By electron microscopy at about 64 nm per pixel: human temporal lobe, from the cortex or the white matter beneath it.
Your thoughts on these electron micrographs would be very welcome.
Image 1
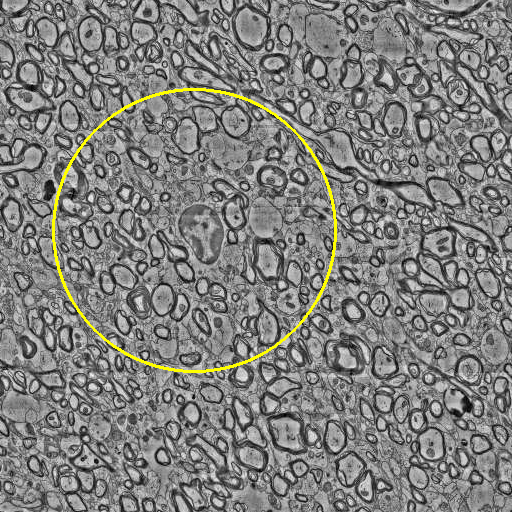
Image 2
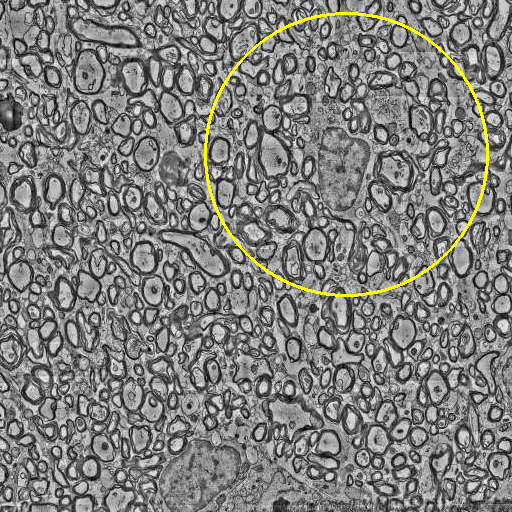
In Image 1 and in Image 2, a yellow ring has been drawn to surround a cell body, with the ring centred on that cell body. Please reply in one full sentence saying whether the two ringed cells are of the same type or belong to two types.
The ringed cells in Image 1 and Image 2 belong to two types.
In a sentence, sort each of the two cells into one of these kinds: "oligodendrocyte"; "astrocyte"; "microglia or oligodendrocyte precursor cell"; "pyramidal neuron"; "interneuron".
The first of the two cells is a microglial cell or oligodendrocyte precursor cell, and the second is an oligodendrocyte.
